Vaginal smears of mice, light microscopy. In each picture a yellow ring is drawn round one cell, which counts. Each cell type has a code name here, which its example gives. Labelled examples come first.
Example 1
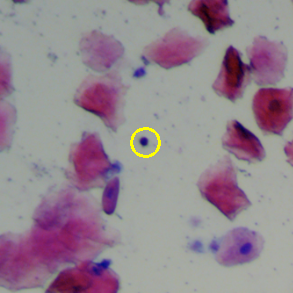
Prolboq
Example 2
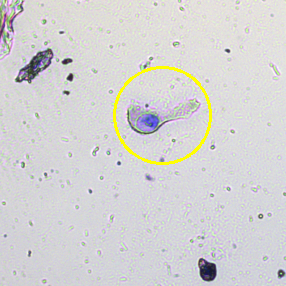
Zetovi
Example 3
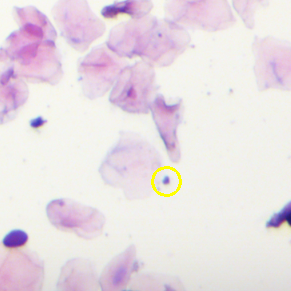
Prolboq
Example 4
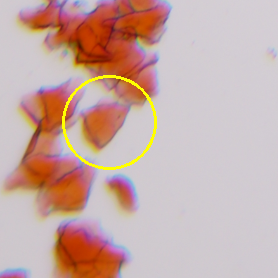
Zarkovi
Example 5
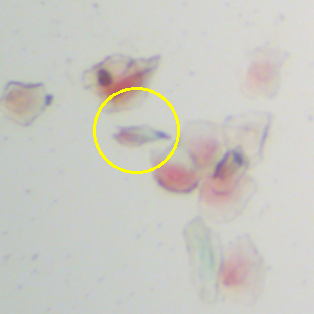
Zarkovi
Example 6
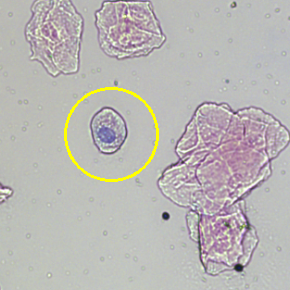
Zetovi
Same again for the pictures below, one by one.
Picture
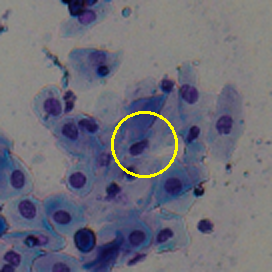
Zetovi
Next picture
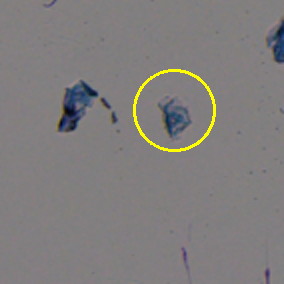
Zarkovi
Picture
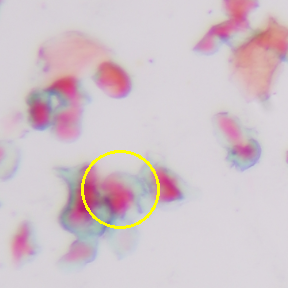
Zetovi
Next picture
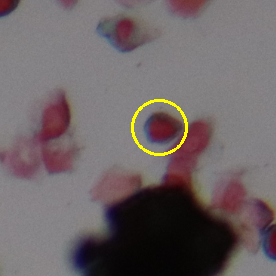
Zetovi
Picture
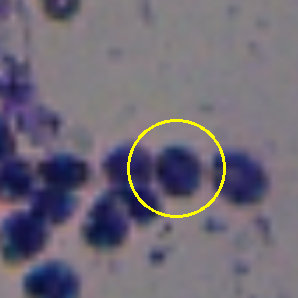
Prolboq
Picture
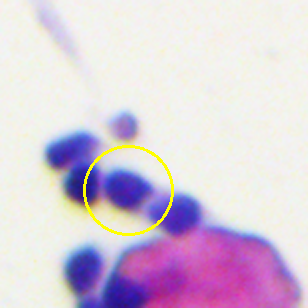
Prolboq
